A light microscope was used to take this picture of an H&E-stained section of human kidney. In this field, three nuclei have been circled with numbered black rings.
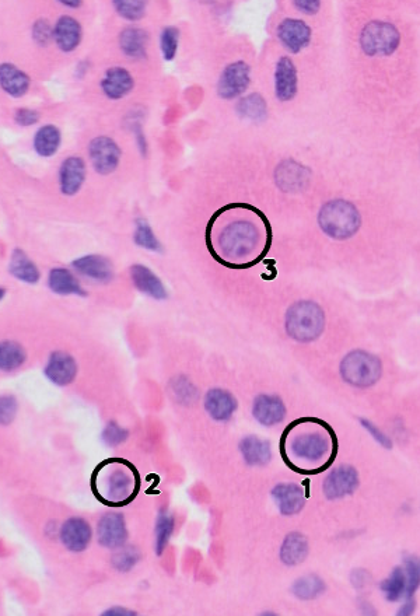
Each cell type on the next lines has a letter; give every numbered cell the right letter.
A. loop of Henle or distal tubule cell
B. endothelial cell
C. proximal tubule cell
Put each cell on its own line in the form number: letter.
1: A
2: A
3: C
